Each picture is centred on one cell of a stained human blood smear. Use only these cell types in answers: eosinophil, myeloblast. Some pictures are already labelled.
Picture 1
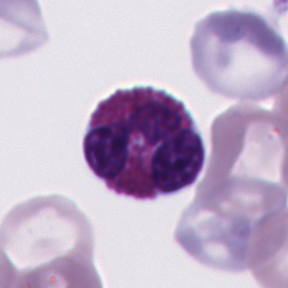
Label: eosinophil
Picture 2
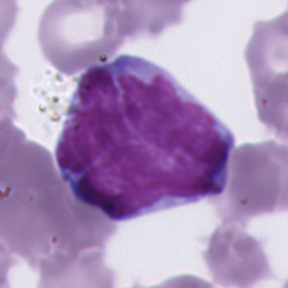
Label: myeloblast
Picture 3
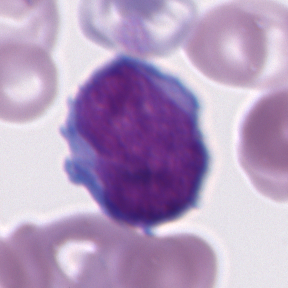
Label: myeloblast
